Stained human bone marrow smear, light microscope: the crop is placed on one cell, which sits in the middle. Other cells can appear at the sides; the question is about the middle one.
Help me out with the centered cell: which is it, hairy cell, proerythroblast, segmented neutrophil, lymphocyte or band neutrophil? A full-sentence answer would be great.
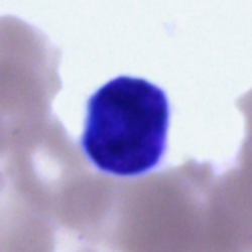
The middle of this crop holds a lymphocyte.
